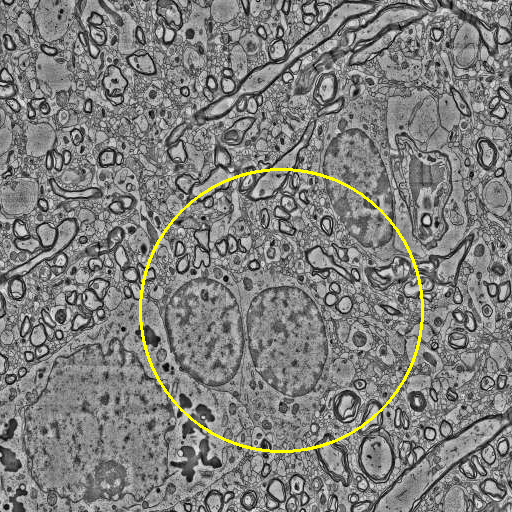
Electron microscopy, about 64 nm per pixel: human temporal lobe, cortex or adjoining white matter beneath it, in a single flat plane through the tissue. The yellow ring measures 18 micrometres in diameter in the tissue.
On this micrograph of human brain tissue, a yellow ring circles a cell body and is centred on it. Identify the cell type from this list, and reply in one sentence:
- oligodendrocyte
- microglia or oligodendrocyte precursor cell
The cell at the centre is an oligodendrocyte.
